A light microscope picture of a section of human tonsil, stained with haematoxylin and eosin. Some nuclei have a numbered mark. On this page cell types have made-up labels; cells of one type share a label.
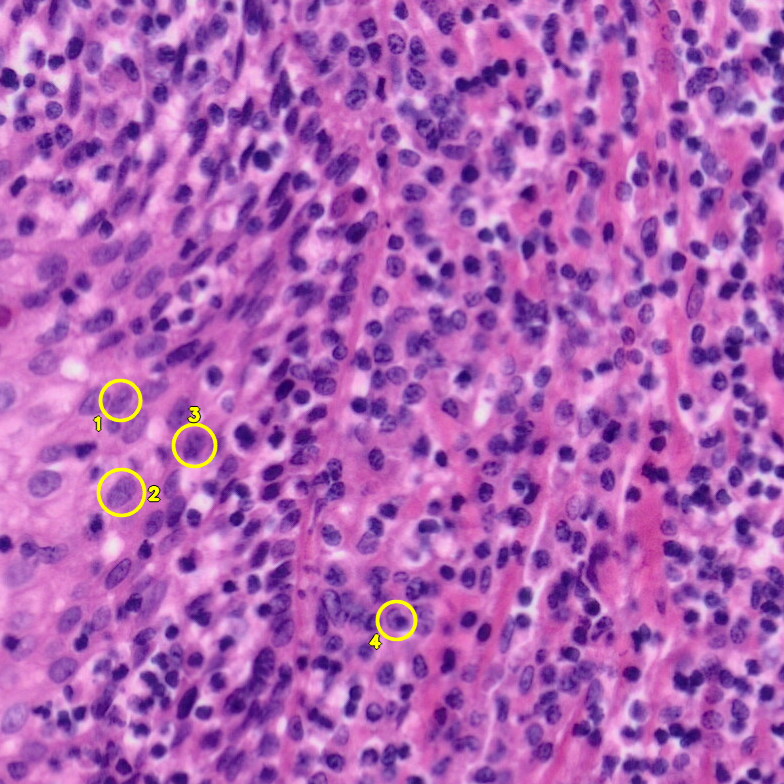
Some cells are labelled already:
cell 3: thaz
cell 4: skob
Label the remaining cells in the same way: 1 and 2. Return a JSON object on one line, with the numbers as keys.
{"1": "thaz", "2": "thaz"}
